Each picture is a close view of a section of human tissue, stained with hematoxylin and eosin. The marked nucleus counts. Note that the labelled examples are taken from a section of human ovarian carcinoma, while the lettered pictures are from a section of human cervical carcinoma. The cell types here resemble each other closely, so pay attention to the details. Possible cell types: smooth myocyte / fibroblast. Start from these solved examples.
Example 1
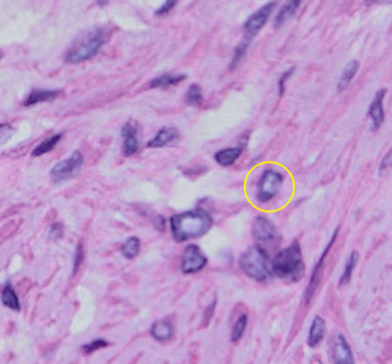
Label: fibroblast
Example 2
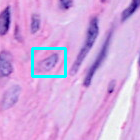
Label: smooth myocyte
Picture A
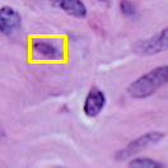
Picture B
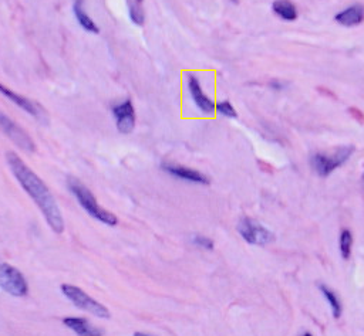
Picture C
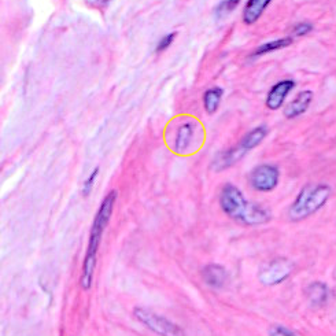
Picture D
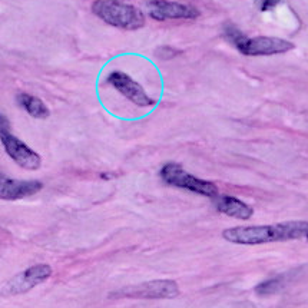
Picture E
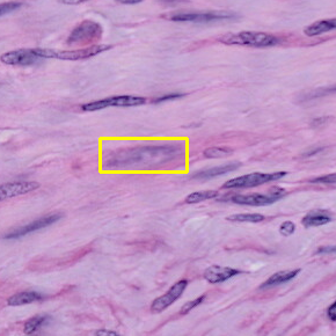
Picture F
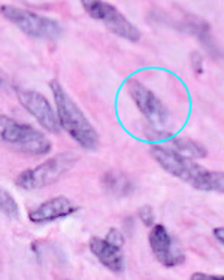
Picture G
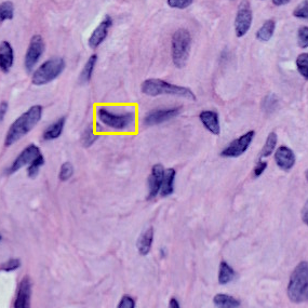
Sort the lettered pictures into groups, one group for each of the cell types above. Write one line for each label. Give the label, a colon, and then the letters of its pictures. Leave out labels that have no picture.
smooth myocyte: A, C, E, F
fibroblast: B, D, G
